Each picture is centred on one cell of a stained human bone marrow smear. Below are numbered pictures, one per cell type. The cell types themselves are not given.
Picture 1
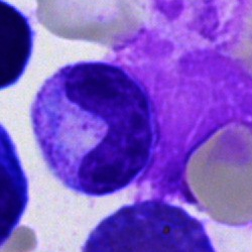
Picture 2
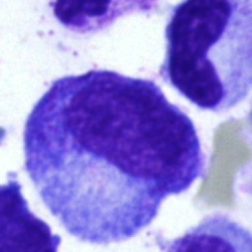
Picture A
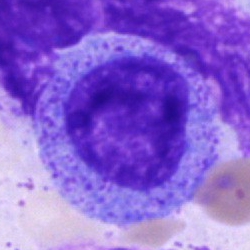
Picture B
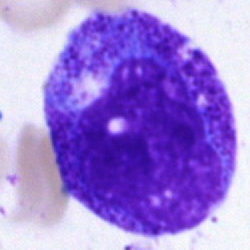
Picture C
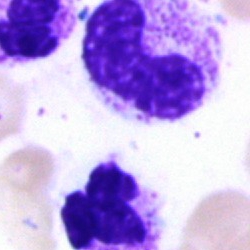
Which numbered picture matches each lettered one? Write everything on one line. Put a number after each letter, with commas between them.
A 2, B 2, C 1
